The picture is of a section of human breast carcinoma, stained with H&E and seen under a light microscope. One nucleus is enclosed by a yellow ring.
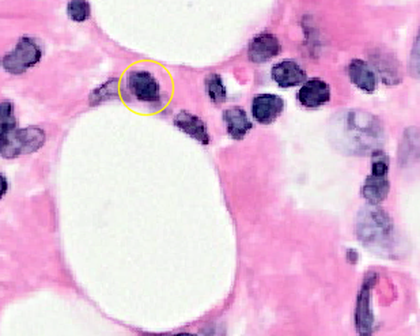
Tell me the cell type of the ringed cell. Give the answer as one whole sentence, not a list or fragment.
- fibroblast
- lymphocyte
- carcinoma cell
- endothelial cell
As far as its identity is concerned, the ringed cell is a lymphocyte.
